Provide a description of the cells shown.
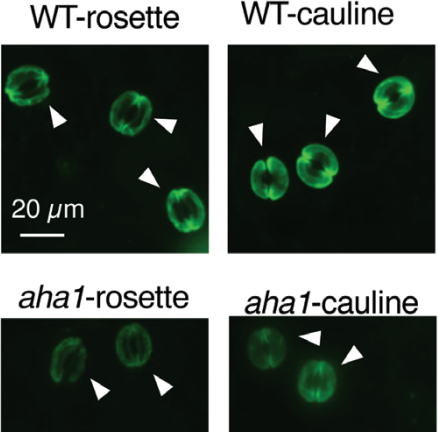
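Four fluorescence fields of leaf epidermis on a dark background, each holding two or three small green ovals, pointed to by white arrowheads. Each oval is made of two kidney-shaped cells facing each other around a central slit, so these are stomata, each a pair of guard cells. The green signal lines the edges of the paired cells and streaks across them, brighter in the two upper fields and fainter, more diffuse in the two lower fields. The rest of the epidermis, the pavement cells around the stomata, gives almost no signal, so only the guard cell pairs stand out.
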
